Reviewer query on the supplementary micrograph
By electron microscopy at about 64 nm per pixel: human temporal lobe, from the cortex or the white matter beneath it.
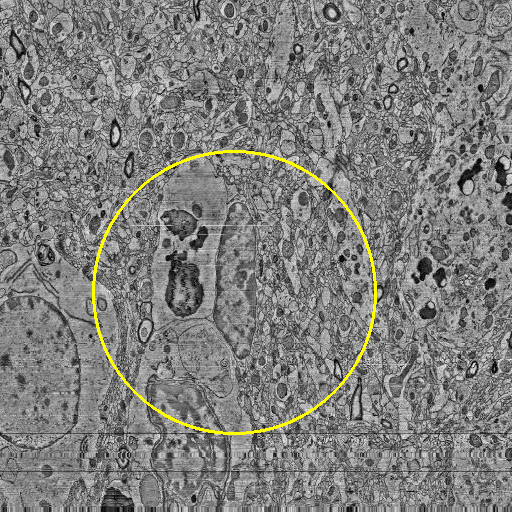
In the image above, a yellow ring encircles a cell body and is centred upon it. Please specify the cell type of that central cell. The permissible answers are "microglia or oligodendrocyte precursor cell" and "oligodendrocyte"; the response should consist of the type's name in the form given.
microglia or oligodendrocyte precursor cell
